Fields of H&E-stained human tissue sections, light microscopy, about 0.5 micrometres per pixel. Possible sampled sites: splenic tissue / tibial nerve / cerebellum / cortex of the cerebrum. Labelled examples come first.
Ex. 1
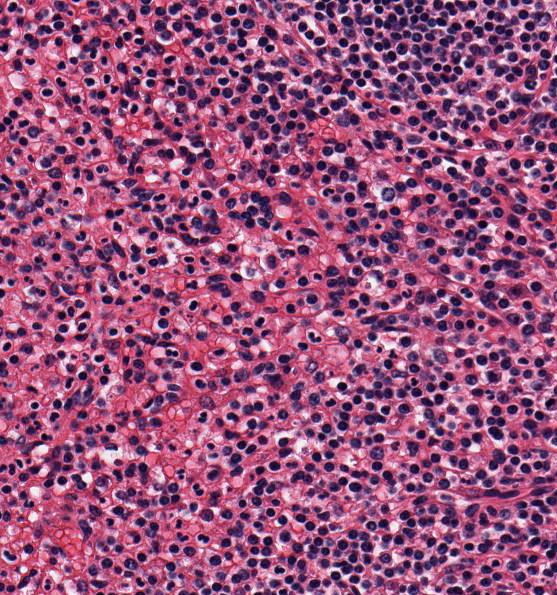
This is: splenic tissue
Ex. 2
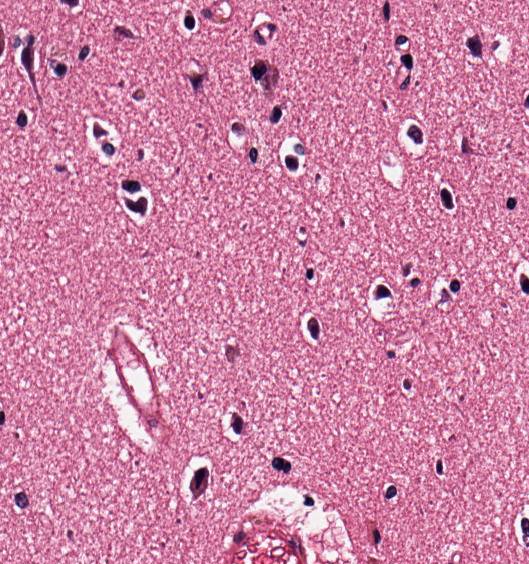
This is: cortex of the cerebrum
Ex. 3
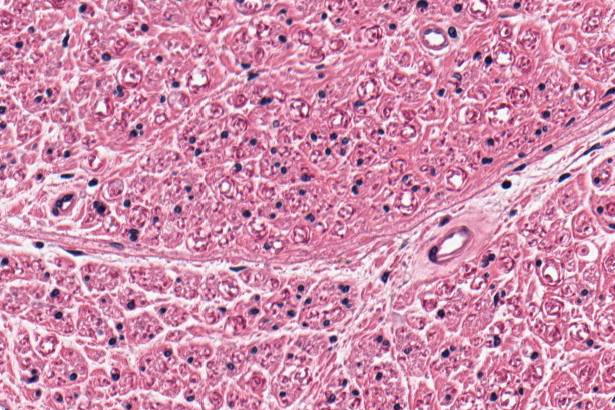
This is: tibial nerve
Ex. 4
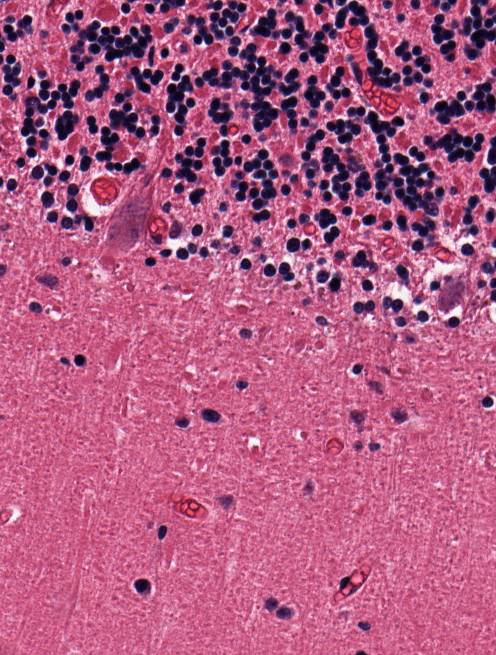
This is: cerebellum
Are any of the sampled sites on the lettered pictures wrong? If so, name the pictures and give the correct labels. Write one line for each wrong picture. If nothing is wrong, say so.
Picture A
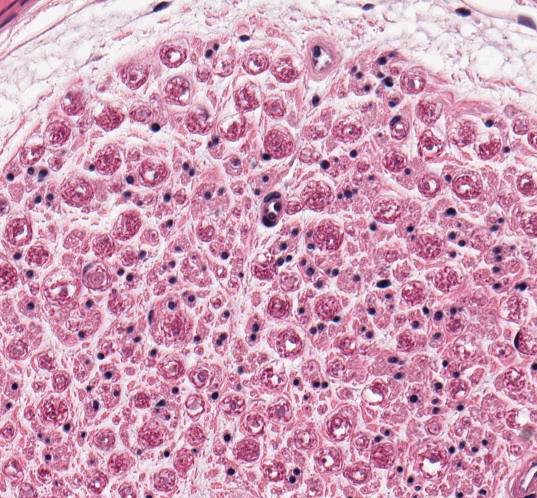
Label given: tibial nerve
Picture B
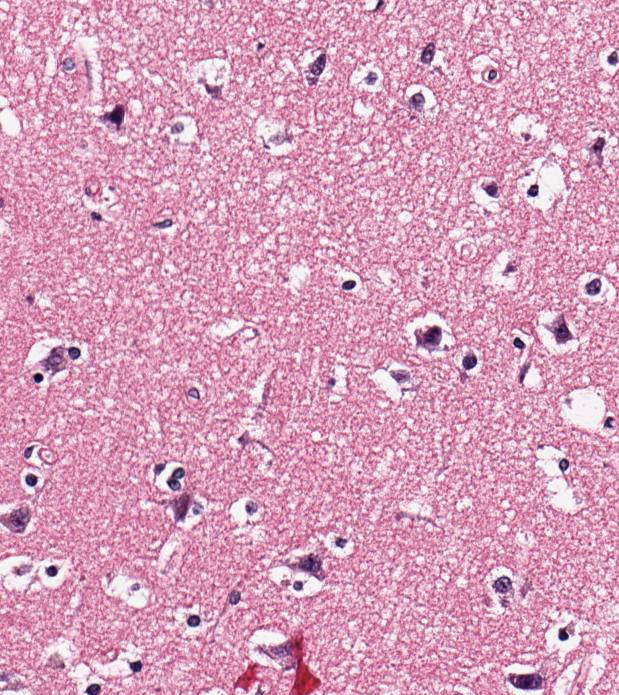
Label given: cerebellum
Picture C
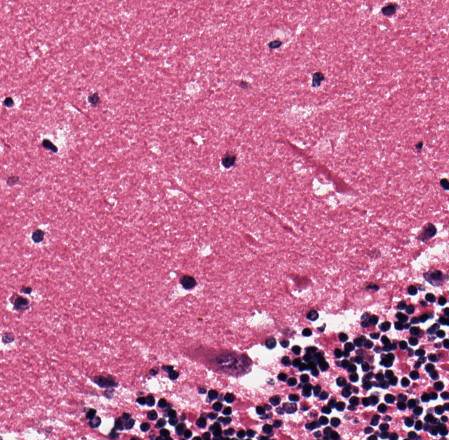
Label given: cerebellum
B: not cerebellum but cortex of the cerebrum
